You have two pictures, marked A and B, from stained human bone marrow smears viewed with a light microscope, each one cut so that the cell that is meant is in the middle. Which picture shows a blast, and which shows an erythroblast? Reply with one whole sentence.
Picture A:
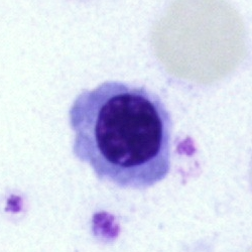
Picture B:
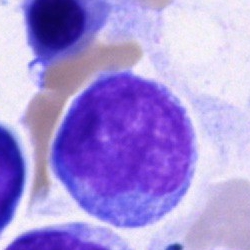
In picture A the cell is an erythroblast; in picture B, a blast.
